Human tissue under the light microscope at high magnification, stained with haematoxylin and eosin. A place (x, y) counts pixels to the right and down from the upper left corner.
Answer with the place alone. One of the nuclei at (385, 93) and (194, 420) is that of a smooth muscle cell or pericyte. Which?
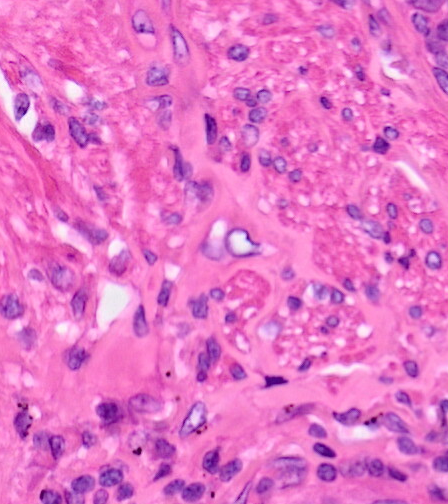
(385, 93)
